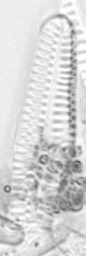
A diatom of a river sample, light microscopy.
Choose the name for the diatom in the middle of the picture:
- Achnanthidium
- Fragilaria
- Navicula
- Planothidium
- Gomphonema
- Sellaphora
Planothidium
